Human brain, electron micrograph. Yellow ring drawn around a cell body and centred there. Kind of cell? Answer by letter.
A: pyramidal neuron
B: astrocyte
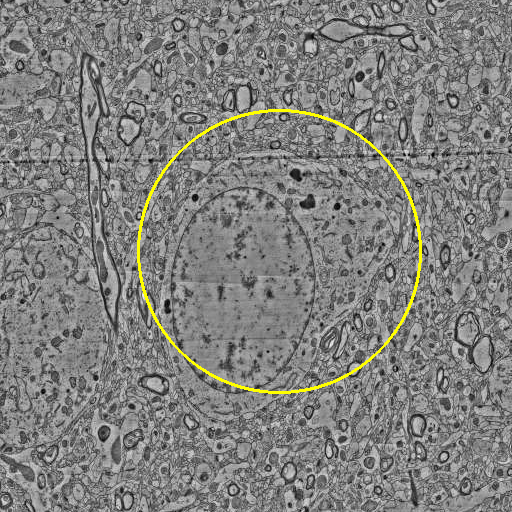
A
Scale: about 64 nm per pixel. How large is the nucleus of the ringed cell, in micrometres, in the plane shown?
In this plane the nucleus measures roughly 13 by 9 micrometres.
